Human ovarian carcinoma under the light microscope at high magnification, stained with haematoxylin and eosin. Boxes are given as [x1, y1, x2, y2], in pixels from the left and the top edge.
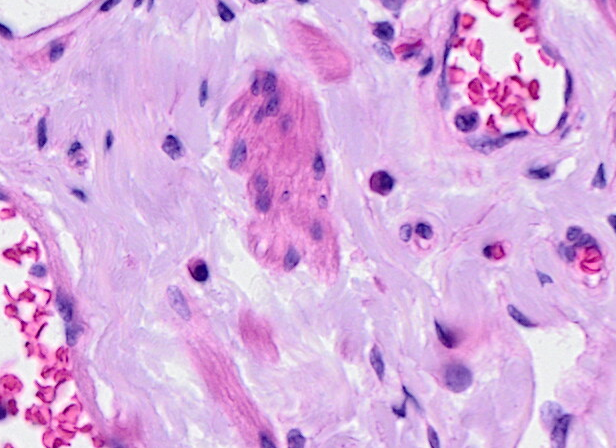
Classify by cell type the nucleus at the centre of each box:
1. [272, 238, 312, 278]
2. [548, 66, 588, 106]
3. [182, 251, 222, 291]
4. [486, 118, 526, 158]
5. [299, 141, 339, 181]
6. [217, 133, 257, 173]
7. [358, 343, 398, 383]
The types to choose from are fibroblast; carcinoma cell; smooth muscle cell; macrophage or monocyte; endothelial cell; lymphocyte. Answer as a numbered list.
1. smooth muscle cell
2. endothelial cell
3. lymphocyte
4. endothelial cell
5. smooth muscle cell
6. smooth muscle cell
7. fibroblast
